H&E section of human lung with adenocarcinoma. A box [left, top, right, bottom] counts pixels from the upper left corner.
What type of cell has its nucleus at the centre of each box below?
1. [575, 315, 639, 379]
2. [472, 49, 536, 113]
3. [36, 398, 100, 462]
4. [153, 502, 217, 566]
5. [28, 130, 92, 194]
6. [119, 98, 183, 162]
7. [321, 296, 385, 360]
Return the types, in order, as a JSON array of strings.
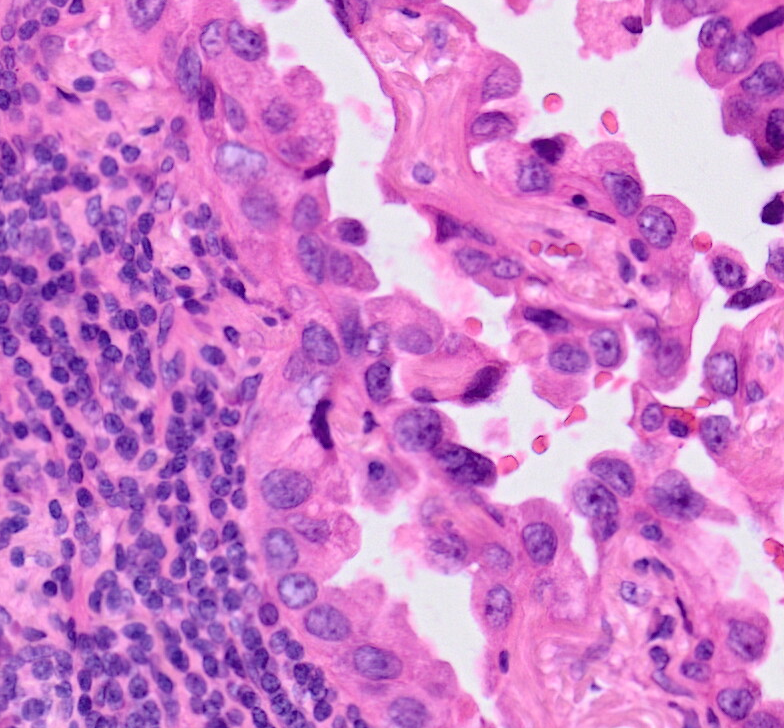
["carcinoma cell", "carcinoma cell", "lymphocyte", "lymphocyte", "lymphocyte", "lymphocyte", "carcinoma cell"]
